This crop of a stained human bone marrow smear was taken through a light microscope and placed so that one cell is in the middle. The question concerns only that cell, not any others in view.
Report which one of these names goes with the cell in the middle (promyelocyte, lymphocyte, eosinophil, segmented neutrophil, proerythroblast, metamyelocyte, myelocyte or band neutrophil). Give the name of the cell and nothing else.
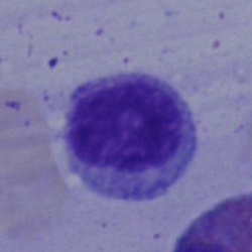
myelocyte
